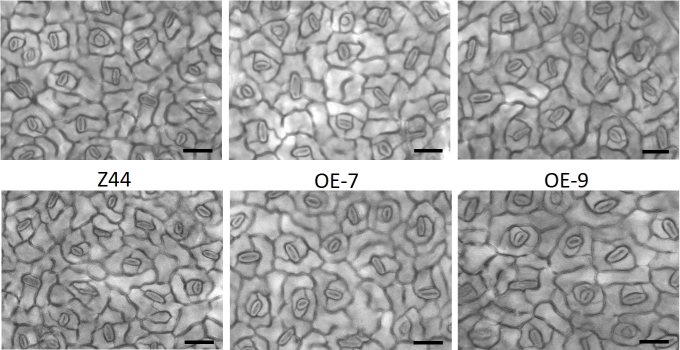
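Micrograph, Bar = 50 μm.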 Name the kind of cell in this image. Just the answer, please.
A: epidermal cells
